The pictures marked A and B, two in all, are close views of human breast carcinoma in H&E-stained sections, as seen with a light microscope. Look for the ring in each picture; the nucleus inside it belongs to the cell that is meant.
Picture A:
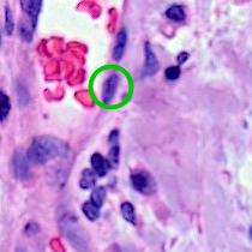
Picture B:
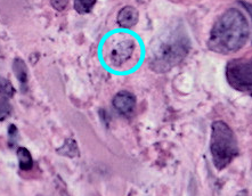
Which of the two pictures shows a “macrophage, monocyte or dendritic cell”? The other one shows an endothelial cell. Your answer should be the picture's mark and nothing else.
B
